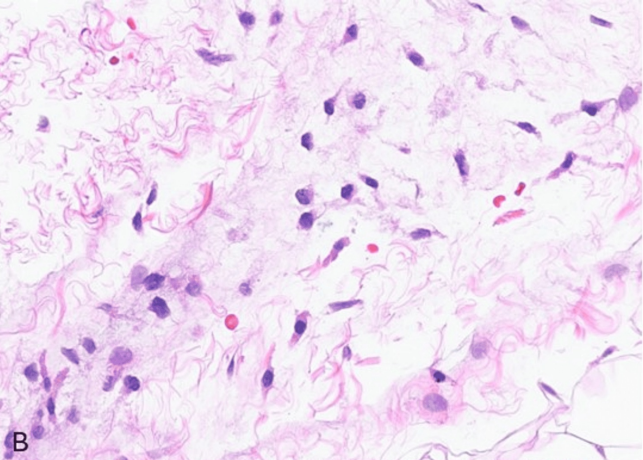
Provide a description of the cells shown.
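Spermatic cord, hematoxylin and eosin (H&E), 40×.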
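At high power this is the stroma of a fibrous septum in fatty tissue, with stromal cells scattered loosely in a pale, wispy background of thin, wavy pink collagen fibres. The stromal nuclei are unlike one another: some are small and spindle-shaped, others larger, rounder and darker purple. A few cells carry pale lilac cytoplasm around their enlarged nuclei. Scattered red blood cells lie among them.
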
